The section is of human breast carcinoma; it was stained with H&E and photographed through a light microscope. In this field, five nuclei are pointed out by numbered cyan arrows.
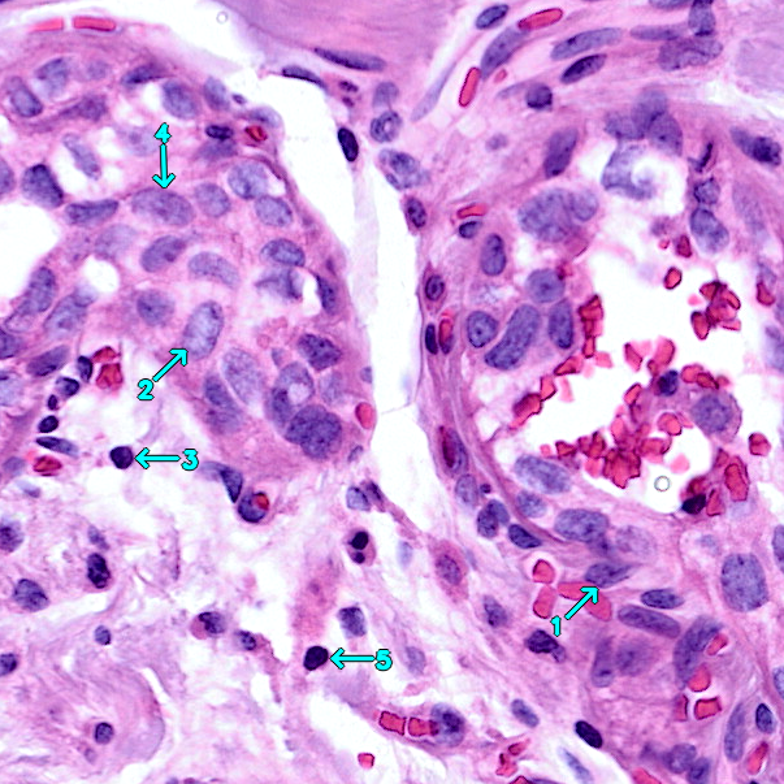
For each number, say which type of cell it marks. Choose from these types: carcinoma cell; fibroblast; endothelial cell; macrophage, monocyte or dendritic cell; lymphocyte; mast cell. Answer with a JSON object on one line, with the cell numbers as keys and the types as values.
{"1": "endothelial cell", "2": "carcinoma cell", "3": "lymphocyte", "4": "carcinoma cell", "5": "lymphocyte"}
